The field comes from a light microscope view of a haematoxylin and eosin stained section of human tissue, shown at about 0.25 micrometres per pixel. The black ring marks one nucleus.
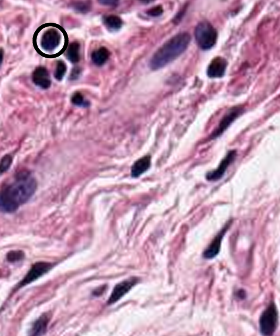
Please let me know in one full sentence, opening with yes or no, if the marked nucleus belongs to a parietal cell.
No, the marked nucleus lies within a supporting cell, not within a parietal cell.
